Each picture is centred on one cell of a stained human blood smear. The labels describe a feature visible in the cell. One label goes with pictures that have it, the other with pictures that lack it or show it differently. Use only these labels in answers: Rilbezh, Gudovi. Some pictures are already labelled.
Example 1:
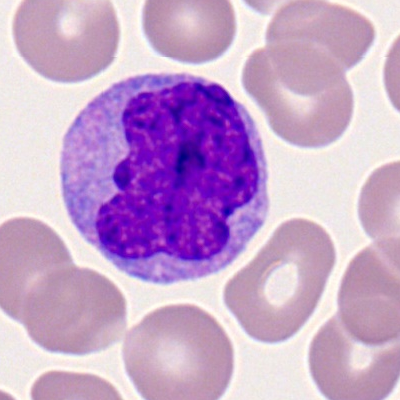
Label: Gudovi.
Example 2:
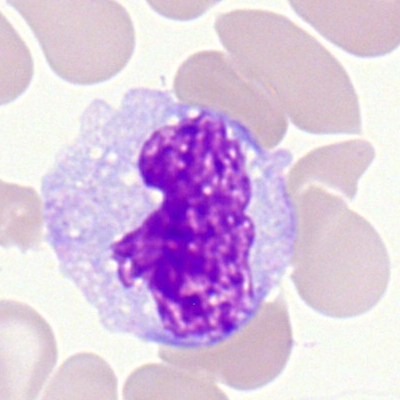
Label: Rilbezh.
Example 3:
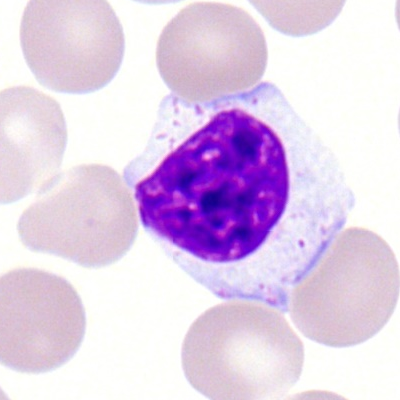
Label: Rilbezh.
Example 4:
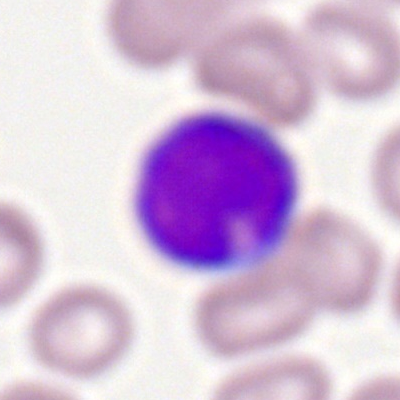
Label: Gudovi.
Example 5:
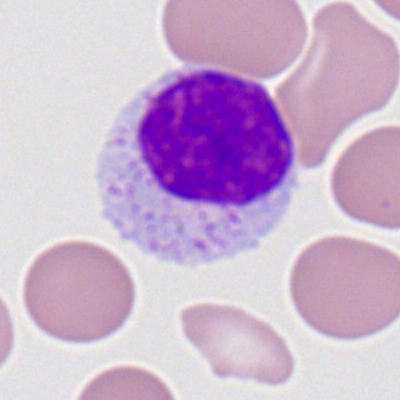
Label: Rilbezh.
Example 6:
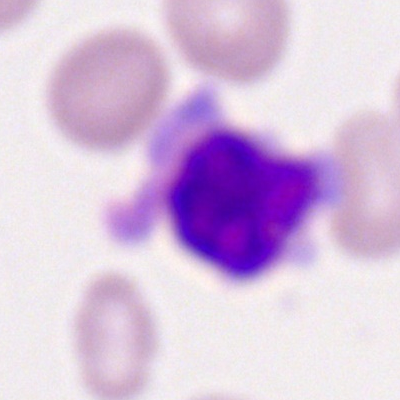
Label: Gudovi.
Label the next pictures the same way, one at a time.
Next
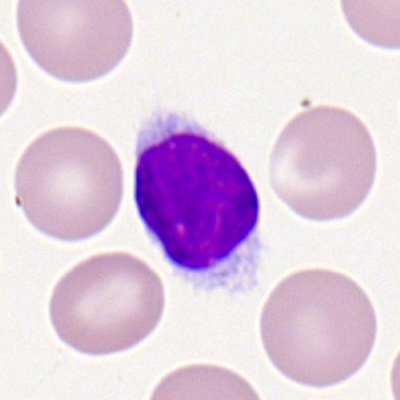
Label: Gudovi.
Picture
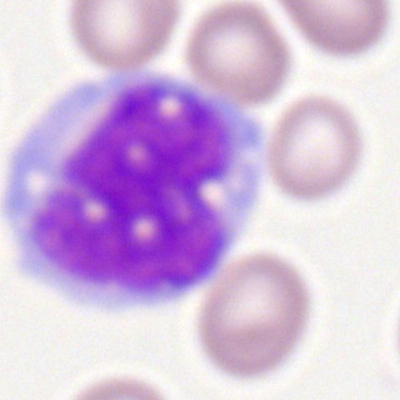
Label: Gudovi.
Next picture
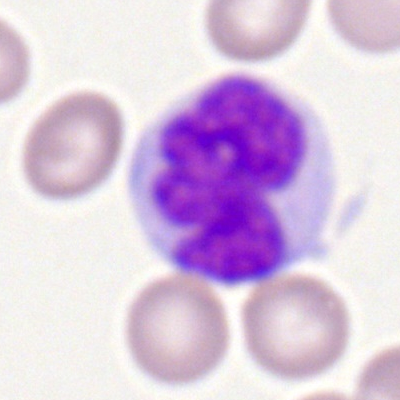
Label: Gudovi.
